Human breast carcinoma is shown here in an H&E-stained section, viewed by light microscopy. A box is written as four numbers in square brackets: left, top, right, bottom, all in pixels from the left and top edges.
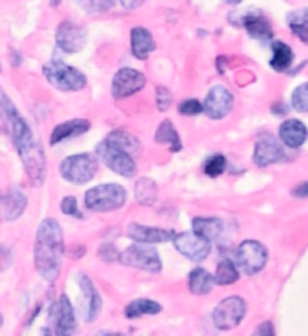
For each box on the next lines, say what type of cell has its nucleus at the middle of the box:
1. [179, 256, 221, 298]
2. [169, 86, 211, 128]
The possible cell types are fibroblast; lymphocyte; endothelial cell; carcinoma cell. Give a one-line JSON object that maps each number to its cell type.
{"1": "carcinoma cell", "2": "lymphocyte"}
